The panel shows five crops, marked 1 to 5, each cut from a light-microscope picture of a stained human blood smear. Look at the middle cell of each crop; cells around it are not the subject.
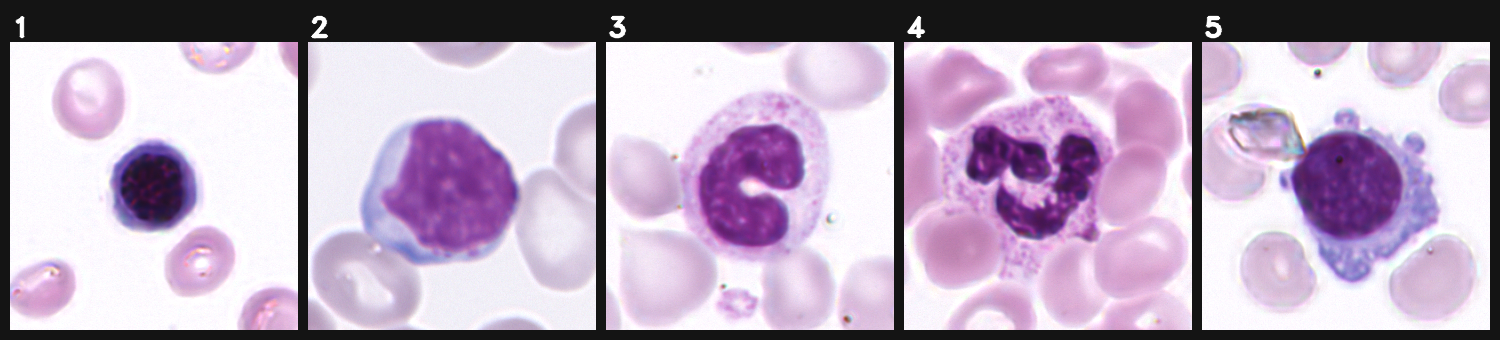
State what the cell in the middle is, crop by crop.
1: normoblast
2: large granular lymphocyte
3: band neutrophil
4: segmented neutrophil
5: plasma cell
